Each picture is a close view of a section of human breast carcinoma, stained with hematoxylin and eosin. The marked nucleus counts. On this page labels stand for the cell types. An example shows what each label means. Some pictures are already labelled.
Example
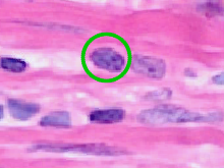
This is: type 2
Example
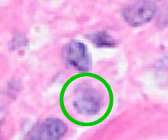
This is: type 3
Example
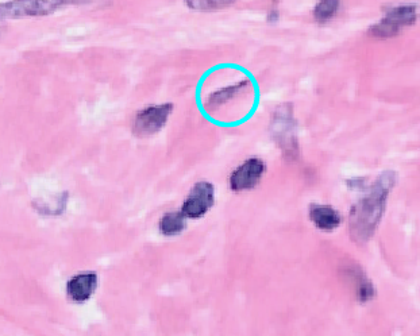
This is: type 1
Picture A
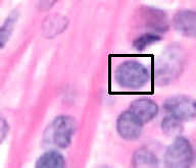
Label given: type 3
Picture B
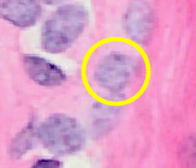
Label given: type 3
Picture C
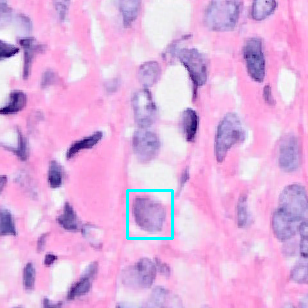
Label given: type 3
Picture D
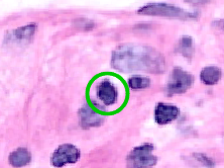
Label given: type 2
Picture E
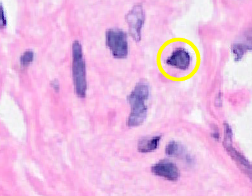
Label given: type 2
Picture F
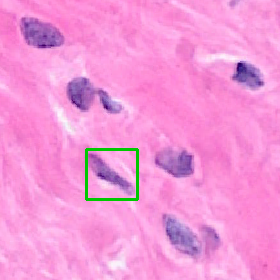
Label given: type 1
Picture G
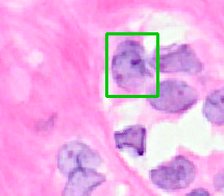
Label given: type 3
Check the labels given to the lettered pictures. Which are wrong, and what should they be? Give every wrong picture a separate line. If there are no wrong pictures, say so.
All labels are correct.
